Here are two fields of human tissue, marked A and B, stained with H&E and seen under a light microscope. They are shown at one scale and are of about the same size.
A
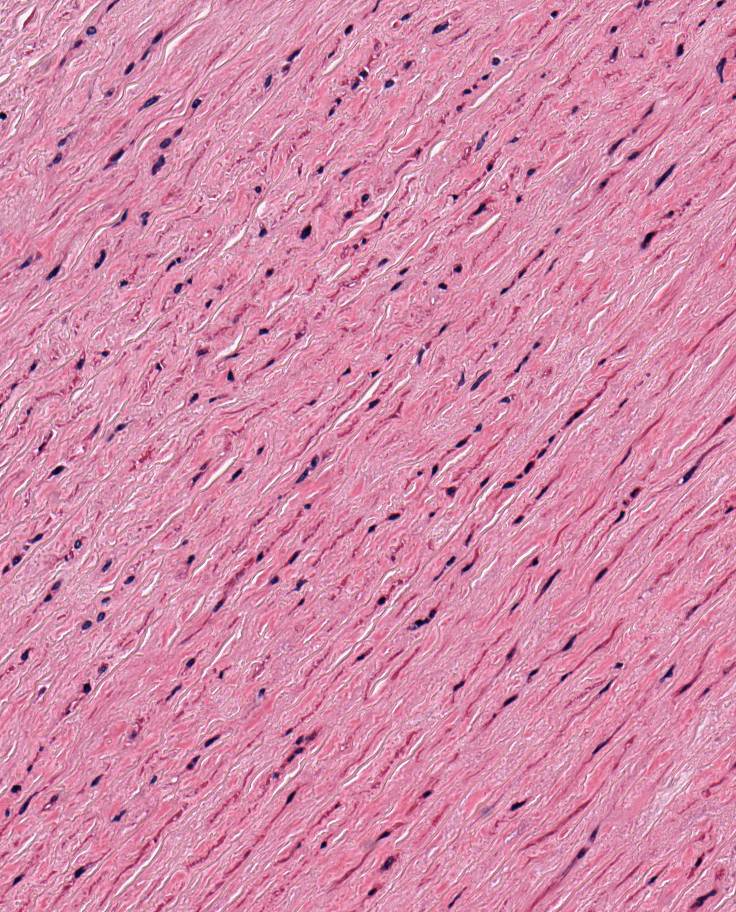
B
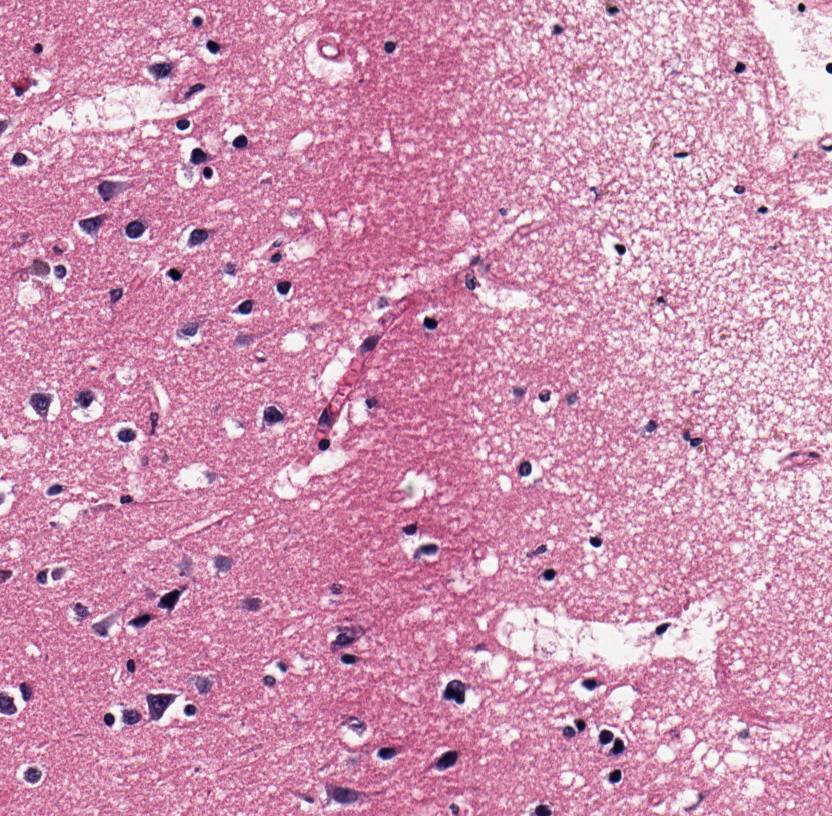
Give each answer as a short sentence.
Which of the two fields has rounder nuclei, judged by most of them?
Rounder nuclei lie in picture B.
